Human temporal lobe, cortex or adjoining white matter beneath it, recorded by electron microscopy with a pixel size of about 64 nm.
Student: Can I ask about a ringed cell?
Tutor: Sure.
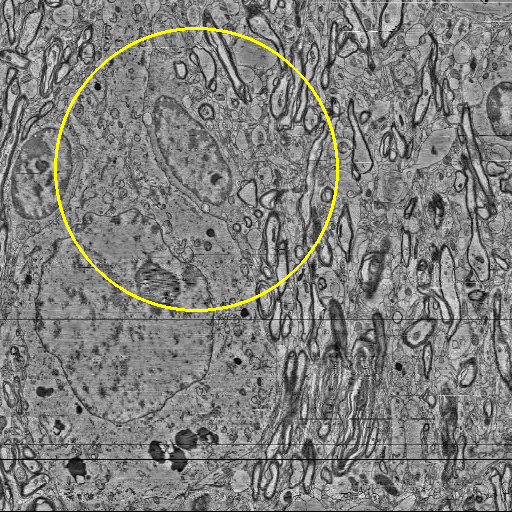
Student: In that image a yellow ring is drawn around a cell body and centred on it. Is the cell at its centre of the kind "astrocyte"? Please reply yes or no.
No, the cell is of another kind.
